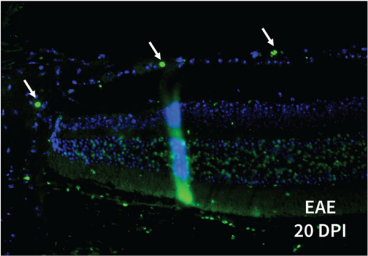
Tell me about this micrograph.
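A cross-section of retina shows its layered nuclei in blue: a sparse single row of nuclei at the inner edge, a thinner band of packed nuclei below it, and a thick band of densely packed small round nuclei further out. A few nuclei in the sparse inner row are bright green and are pointed out by white arrows. Below the thick nuclear band lies a broad band of diffuse green fluorescence without nuclei, and a streak of blue and green crosses the layers near the middle.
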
